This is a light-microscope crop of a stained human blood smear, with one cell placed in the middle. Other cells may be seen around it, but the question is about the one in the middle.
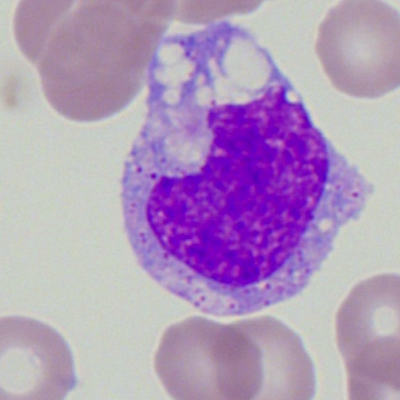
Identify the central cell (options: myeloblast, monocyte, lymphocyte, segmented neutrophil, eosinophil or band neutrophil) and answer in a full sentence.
The crop's centre is taken up by a monocyte.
